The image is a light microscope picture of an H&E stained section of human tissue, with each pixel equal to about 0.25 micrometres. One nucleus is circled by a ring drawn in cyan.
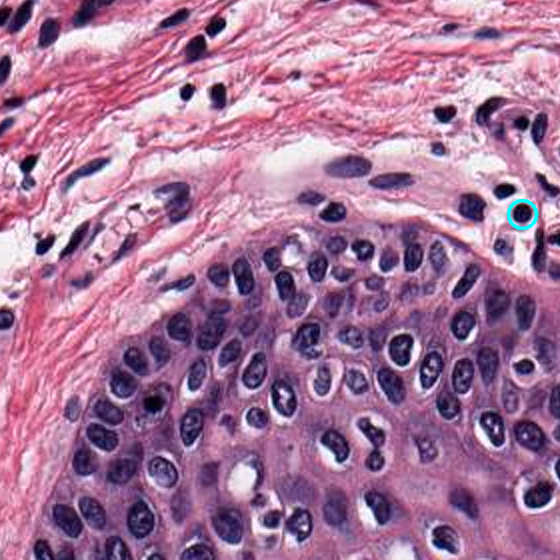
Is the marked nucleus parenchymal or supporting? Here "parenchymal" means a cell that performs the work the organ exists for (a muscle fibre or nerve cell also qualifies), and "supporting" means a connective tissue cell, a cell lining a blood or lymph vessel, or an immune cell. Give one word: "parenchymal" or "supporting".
supporting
